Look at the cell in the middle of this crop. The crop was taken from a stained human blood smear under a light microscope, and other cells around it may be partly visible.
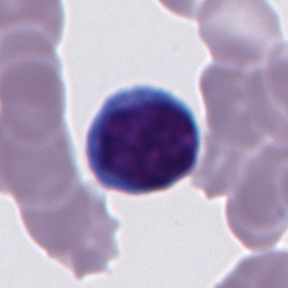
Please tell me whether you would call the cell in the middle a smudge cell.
no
